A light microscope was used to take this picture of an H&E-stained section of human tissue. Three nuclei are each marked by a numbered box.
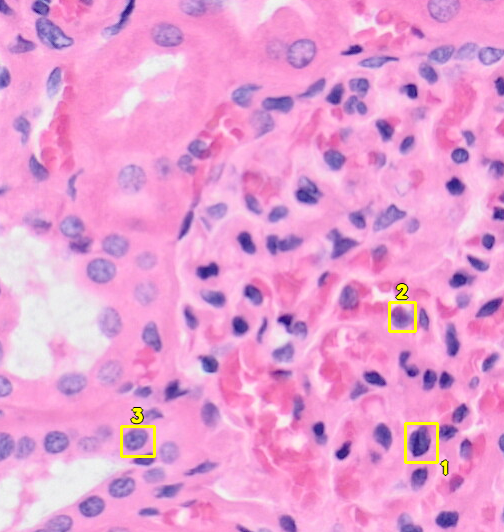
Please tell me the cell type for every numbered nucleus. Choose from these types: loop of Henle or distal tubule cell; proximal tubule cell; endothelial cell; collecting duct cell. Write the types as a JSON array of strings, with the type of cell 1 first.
["endothelial cell", "endothelial cell", "collecting duct cell"]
